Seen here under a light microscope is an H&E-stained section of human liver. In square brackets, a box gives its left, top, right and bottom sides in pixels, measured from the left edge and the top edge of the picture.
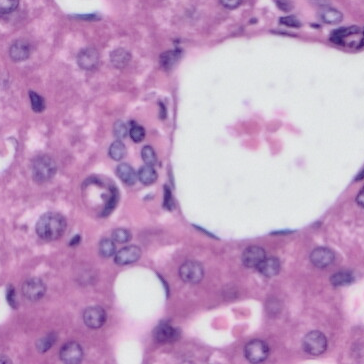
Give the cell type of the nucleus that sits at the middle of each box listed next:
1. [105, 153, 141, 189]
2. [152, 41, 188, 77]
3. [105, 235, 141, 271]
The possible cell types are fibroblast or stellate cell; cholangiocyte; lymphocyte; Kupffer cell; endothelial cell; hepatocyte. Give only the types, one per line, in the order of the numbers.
cholangiocyte
fibroblast or stellate cell
cholangiocyte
